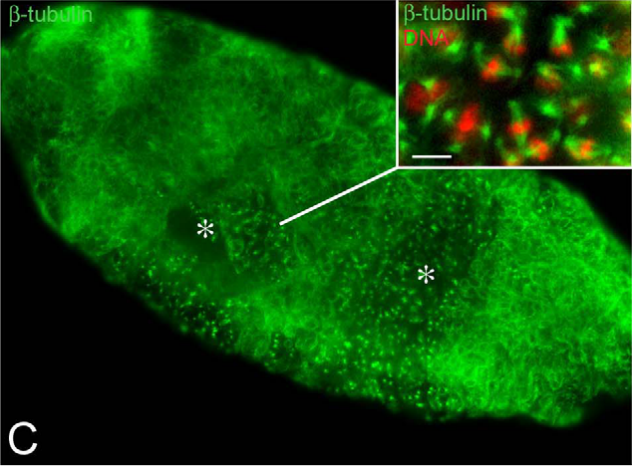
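Some regions show a mesh of small polygonal cell outlines. Other large regions look incompletely formed: a dark patch lacks an organised cell pattern, and a broad area is scattered with many small, bright green dots. The inset magnifies such an area. Red chromatin clusters sit among paired or spindle-like green foci at their sides. These are cells in mitotic division. The dividing cells lie crowded and irregularly spaced, not in an ordered layer.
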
